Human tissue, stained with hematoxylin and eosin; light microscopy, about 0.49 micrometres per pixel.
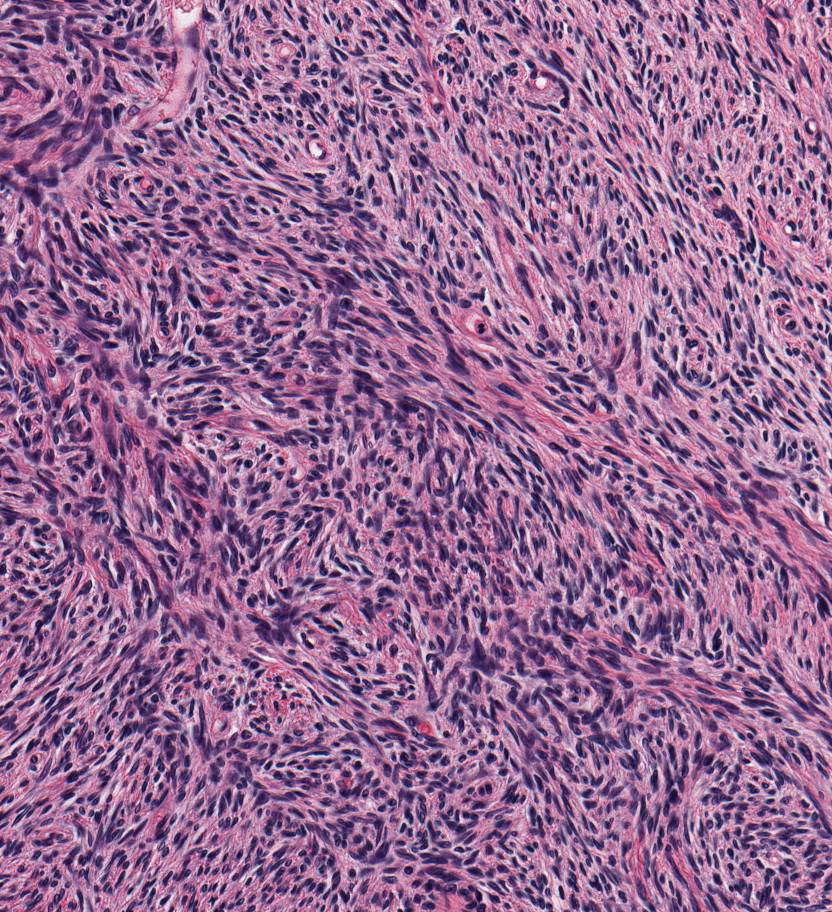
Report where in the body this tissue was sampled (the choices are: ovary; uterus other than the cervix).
ovary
